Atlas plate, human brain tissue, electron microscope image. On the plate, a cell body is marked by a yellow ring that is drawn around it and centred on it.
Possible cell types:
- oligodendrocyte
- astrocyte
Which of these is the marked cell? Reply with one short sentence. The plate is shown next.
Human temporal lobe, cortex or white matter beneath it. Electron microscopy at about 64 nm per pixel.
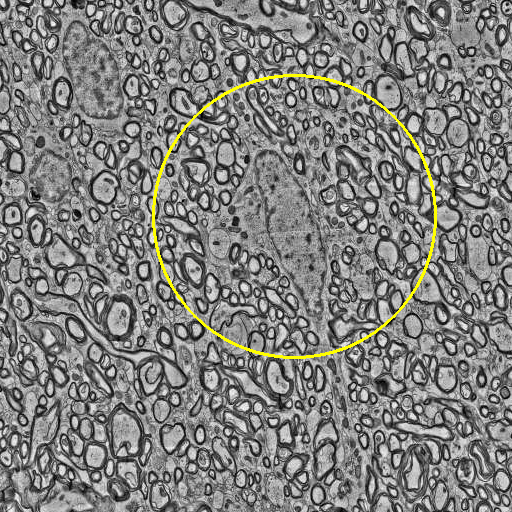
The marked cell is an astrocyte.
